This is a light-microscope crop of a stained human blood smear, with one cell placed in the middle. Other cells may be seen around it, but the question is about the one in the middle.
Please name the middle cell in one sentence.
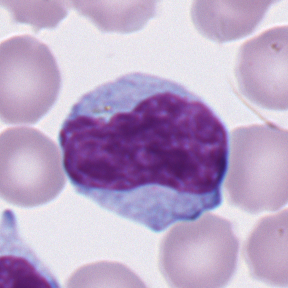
On this slide crop, the central cell is a monocyte.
